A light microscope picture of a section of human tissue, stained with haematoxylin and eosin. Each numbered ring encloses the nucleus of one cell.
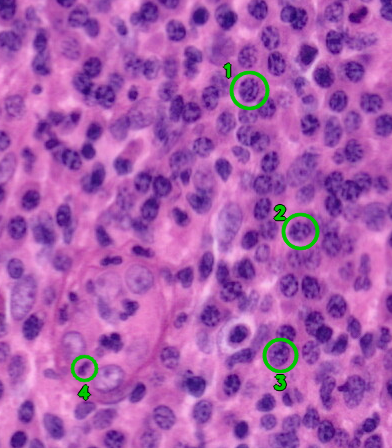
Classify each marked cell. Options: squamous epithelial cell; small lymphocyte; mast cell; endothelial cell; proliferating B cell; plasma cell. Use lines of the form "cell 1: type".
cell 1: plasma cell
cell 2: plasma cell
cell 3: plasma cell
cell 4: endothelial cell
